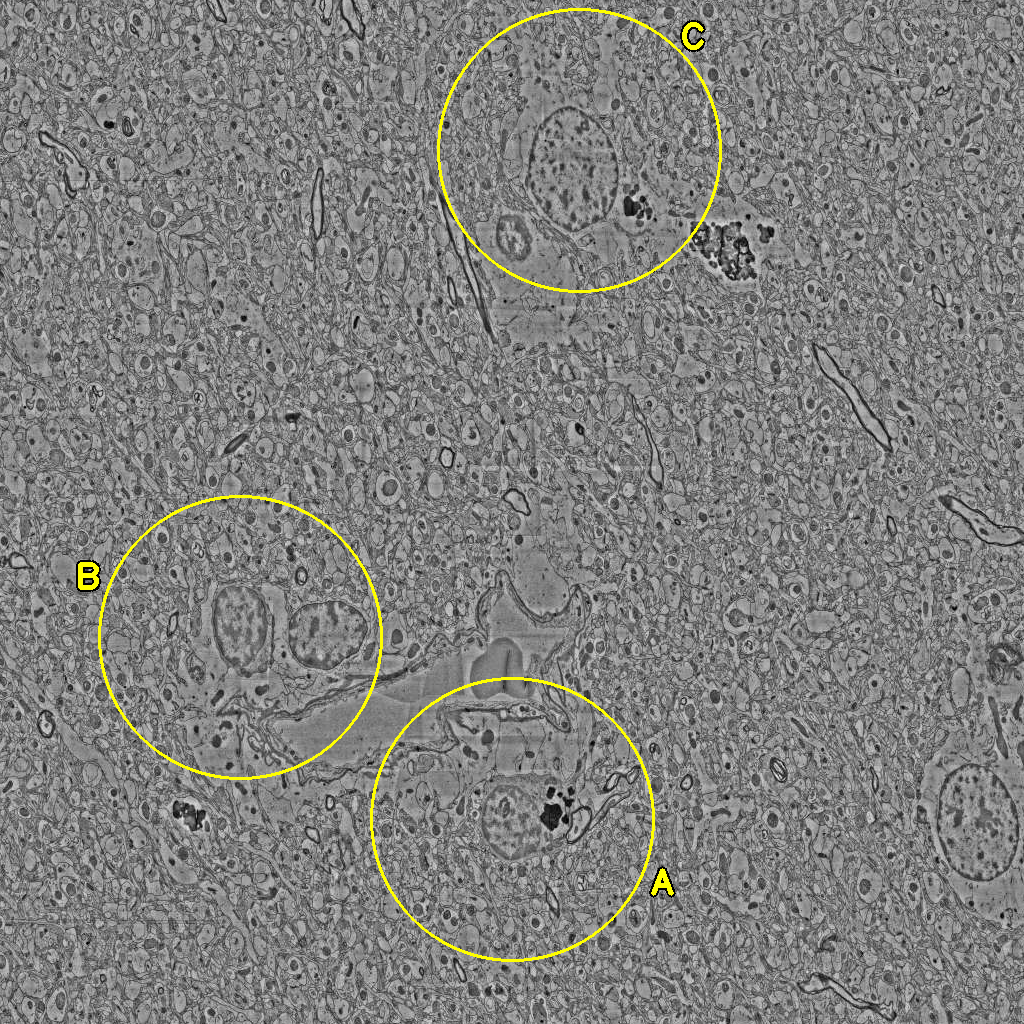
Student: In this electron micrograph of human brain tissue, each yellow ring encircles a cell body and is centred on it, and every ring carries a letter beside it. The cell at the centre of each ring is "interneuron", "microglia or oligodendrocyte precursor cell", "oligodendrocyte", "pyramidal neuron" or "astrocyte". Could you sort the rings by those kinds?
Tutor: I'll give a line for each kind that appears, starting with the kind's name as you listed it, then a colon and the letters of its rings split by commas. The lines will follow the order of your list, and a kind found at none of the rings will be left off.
oligodendrocyte: A, B
astrocyte: C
